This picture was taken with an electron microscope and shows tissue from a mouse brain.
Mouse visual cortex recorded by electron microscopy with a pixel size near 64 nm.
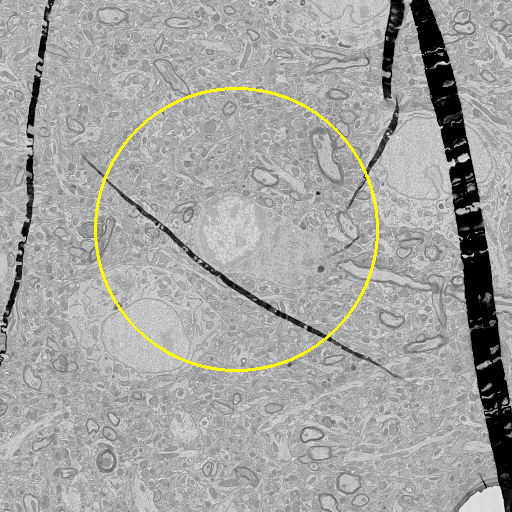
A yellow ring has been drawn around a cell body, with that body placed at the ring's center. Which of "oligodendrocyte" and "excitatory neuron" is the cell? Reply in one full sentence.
In this picture, an oligodendrocyte is the cell at the center of the yellow ring.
